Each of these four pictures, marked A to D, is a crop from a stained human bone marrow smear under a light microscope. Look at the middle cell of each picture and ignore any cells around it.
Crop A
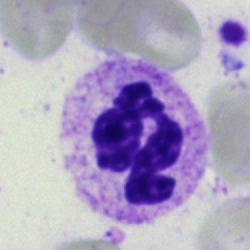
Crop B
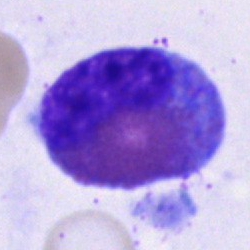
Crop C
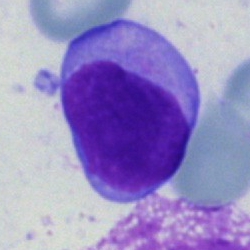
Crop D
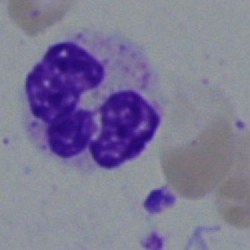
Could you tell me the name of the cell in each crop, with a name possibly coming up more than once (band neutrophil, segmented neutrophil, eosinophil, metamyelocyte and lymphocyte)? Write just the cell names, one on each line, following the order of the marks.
segmented neutrophil
eosinophil
lymphocyte
segmented neutrophil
